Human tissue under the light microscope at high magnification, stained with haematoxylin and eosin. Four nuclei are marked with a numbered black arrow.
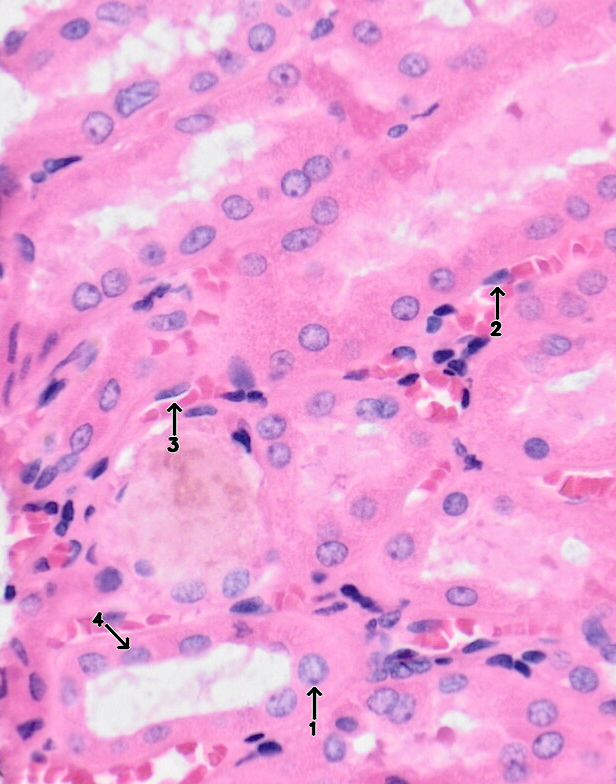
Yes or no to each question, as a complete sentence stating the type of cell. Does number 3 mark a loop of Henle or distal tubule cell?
No, the cell given the number 3 is an endothelial cell, so not a loop of Henle or distal tubule cell.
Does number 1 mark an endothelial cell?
No, it is a loop of Henle or distal tubule cell, not an endothelial cell, that number 1 marks.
